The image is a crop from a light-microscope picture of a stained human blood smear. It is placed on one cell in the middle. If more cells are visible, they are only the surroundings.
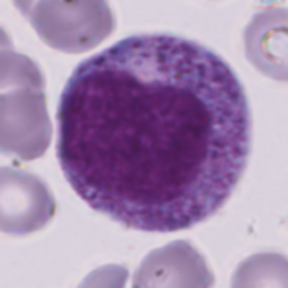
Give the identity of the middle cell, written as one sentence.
For this crop, the cell in the middle is a promyelocyte.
